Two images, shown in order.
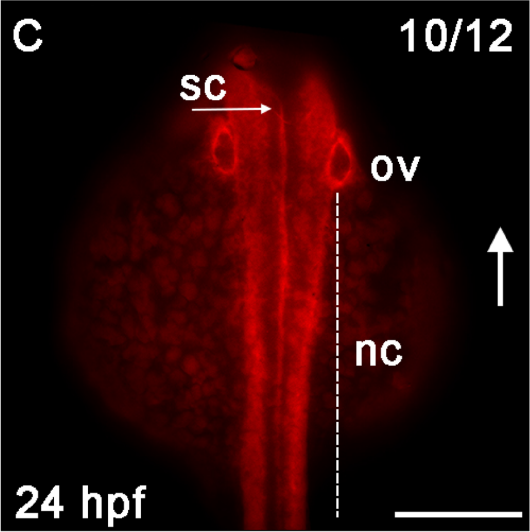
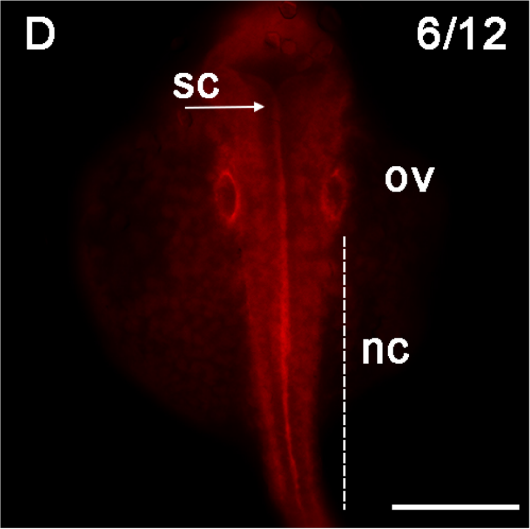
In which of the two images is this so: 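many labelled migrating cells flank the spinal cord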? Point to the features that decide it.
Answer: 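The first image. Second image: a narrow red midline stripe with little bright signal beside it. First image: broad bright red bands lie on both sides of the midline stripe behind the otic vesicles.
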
